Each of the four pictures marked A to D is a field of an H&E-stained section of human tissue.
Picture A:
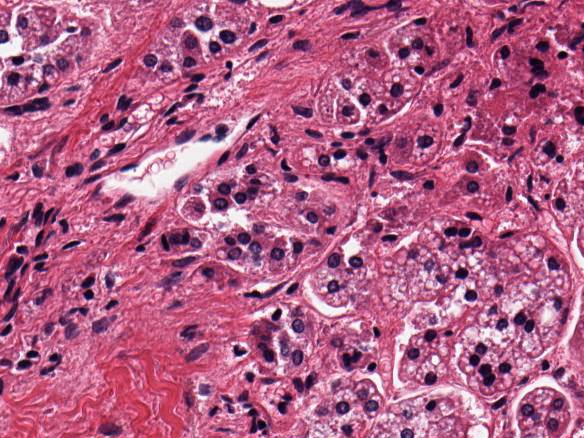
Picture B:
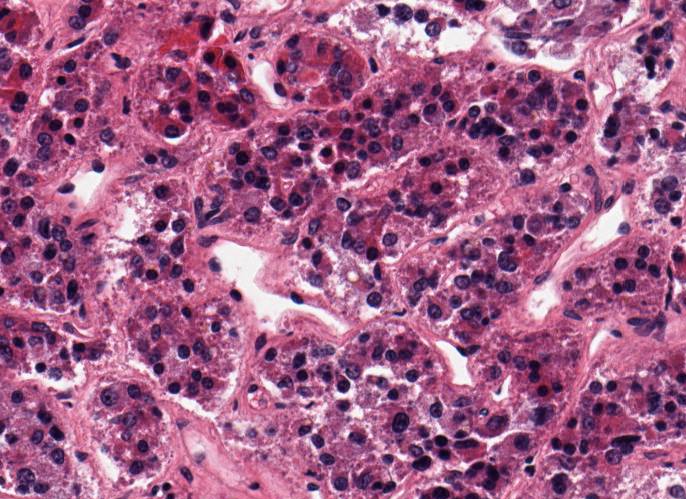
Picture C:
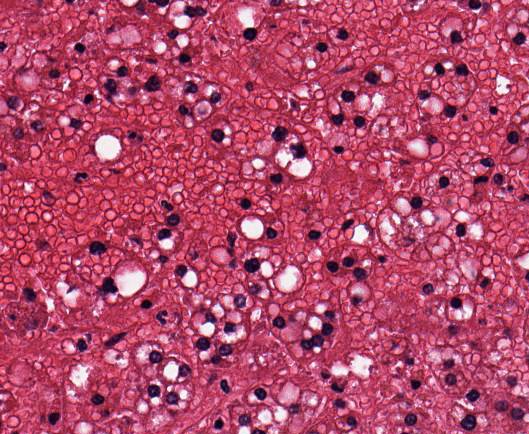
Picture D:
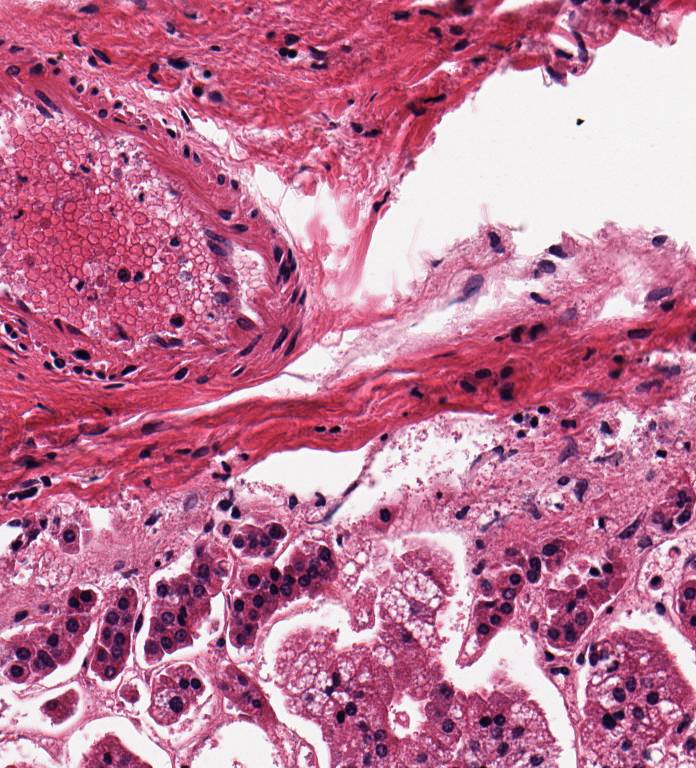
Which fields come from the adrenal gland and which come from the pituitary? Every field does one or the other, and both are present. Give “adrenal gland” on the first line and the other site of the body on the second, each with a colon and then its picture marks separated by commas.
adrenal gland: A, C, D
pituitary: B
